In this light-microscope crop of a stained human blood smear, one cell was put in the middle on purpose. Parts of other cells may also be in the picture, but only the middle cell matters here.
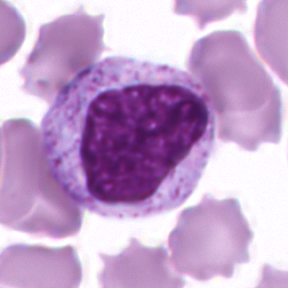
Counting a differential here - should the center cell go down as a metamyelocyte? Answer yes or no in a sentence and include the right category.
Yes, the cell at the crop's center is a metamyelocyte.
